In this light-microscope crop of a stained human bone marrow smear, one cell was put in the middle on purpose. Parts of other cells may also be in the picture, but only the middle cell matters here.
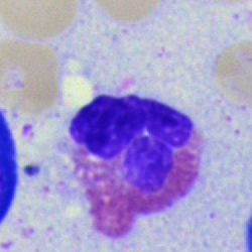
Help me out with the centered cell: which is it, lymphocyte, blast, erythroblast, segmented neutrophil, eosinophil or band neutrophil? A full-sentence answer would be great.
The identification for the central cell is an eosinophil.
